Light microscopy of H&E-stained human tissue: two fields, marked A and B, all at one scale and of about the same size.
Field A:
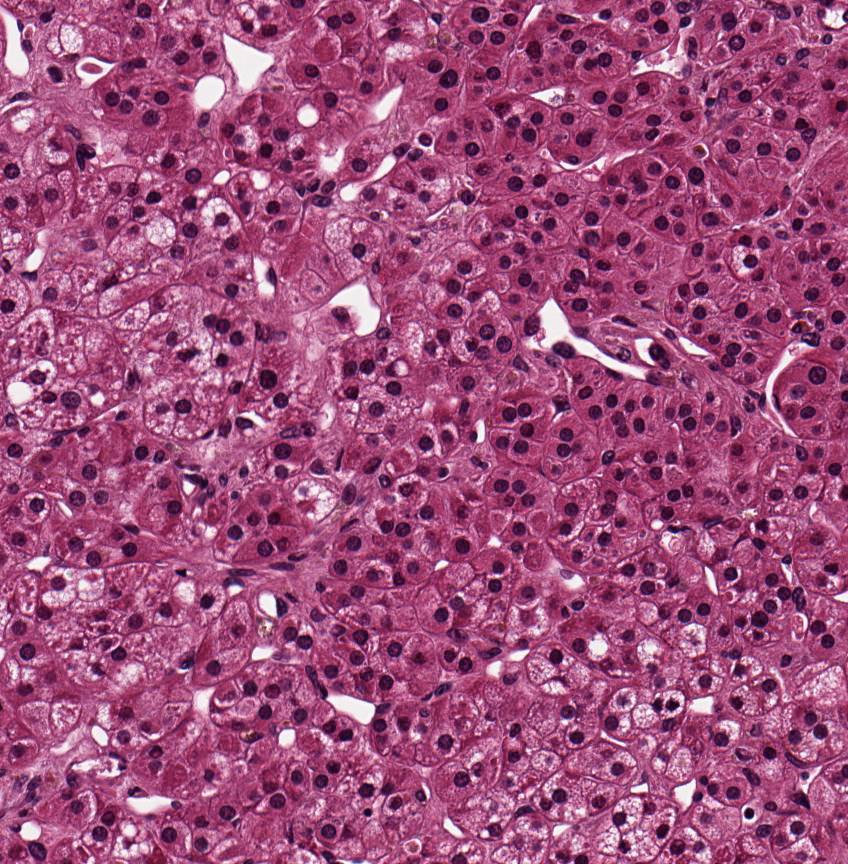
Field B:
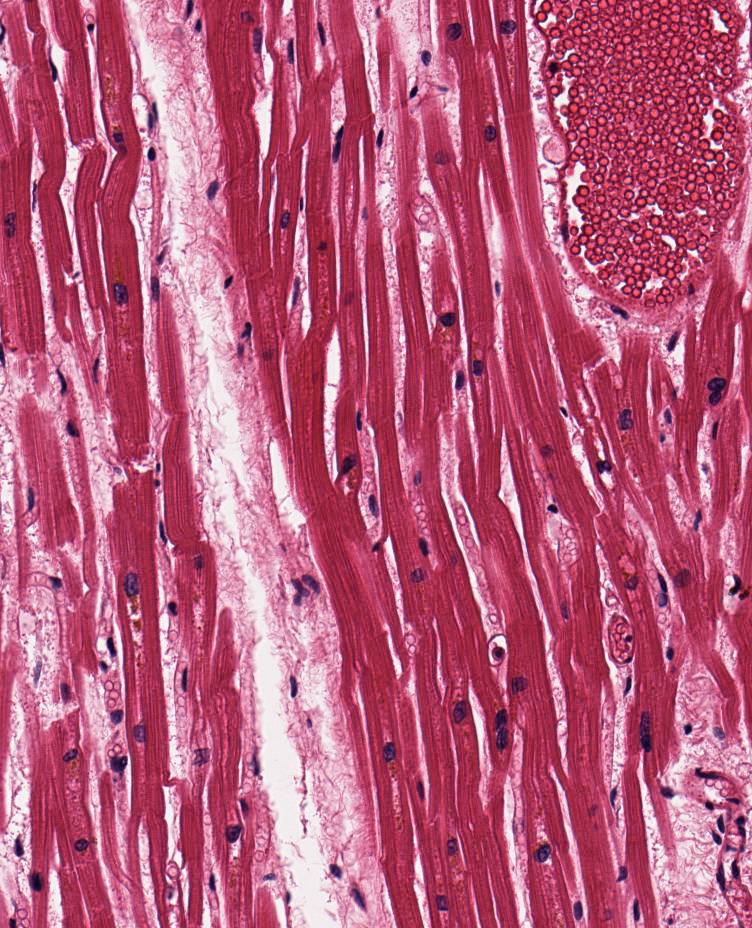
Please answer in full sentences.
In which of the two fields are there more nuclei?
There are more nuclei in field A.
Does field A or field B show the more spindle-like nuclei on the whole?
Longer, more slender nuclei lie in field B.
